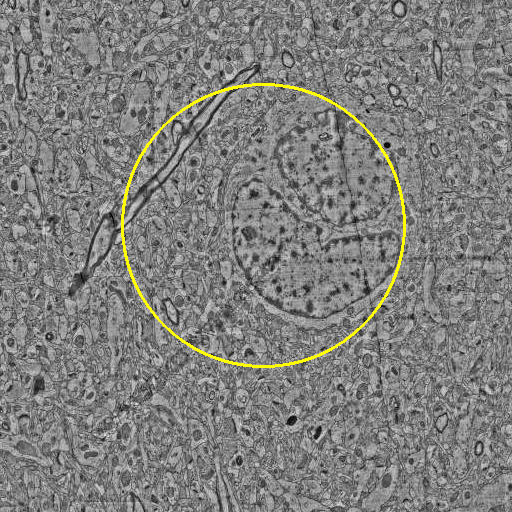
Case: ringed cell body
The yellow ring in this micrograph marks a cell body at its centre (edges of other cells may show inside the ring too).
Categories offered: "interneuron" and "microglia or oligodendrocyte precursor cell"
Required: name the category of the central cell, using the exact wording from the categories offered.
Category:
microglia or oligodendrocyte precursor cell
